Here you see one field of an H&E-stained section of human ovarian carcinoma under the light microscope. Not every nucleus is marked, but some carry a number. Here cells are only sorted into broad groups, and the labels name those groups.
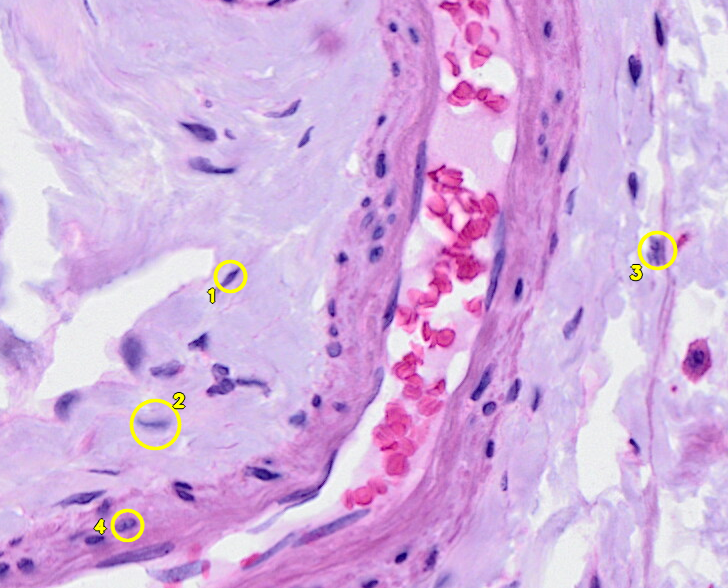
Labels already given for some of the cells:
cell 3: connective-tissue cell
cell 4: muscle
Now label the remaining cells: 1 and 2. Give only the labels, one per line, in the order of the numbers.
connective-tissue cell
connective-tissue cell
